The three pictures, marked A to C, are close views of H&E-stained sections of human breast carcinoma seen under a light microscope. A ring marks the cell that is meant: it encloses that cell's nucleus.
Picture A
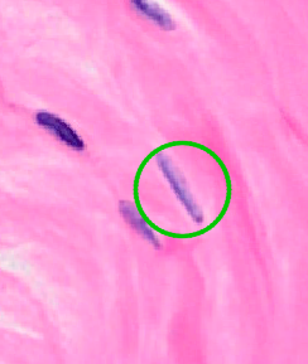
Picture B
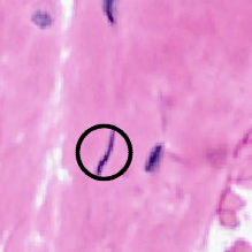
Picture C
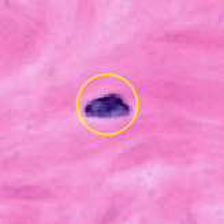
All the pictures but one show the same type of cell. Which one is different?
C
